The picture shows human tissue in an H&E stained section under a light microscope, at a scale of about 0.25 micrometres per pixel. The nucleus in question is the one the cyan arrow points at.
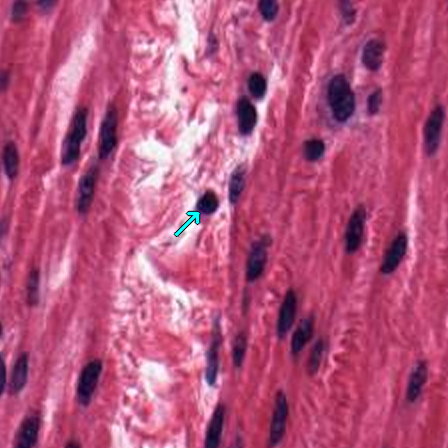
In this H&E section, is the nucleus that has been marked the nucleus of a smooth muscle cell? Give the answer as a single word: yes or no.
no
